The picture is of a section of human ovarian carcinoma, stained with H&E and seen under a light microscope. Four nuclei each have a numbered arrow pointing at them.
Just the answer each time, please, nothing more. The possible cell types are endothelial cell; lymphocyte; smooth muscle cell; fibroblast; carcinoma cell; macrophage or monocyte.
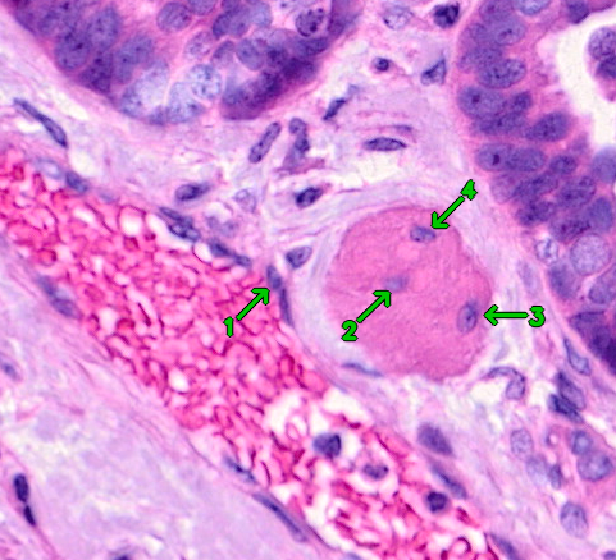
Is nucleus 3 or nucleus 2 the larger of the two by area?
3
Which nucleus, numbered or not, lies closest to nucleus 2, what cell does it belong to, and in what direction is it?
a smooth muscle cell, above and to the right of nucleus 2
